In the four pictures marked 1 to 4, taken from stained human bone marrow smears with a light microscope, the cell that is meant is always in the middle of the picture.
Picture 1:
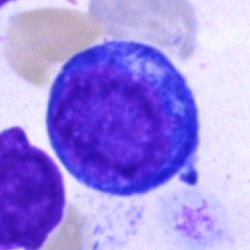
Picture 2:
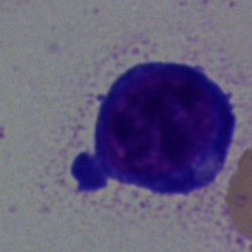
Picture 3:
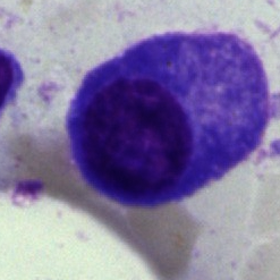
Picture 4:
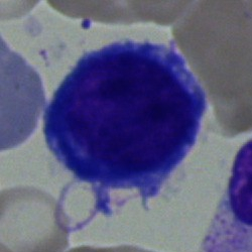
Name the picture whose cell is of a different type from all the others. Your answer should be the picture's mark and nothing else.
3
